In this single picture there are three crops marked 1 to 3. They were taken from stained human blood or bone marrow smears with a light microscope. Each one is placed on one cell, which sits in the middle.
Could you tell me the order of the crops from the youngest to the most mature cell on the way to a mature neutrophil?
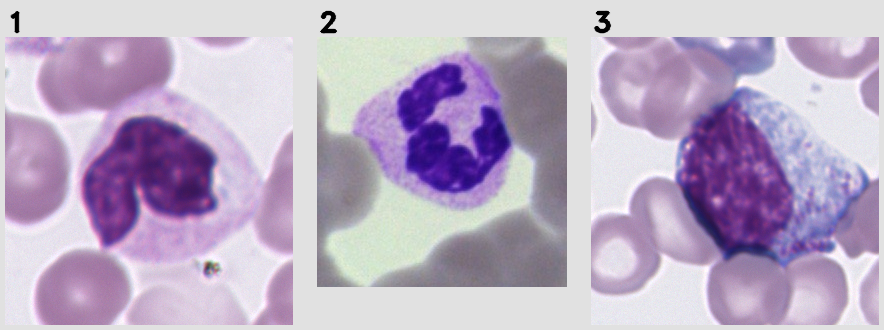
3, 1, 2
